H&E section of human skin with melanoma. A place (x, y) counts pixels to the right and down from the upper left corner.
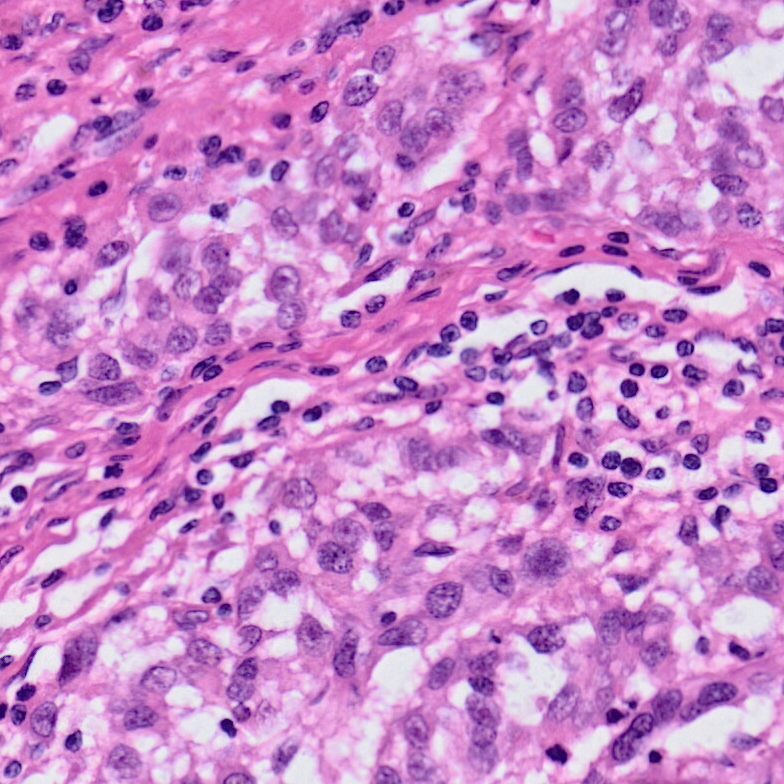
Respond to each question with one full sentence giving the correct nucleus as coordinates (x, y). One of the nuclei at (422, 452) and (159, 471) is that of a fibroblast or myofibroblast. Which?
Of the two, the nucleus lying at (159, 471) is the one belonging to a fibroblast or myofibroblast.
